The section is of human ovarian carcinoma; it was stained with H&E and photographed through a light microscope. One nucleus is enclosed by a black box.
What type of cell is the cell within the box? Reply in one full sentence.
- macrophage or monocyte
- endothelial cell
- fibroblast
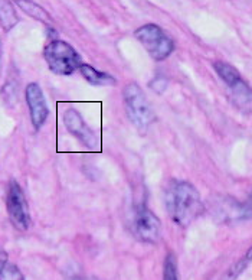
In short, the cell within the box on this section is a fibroblast.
